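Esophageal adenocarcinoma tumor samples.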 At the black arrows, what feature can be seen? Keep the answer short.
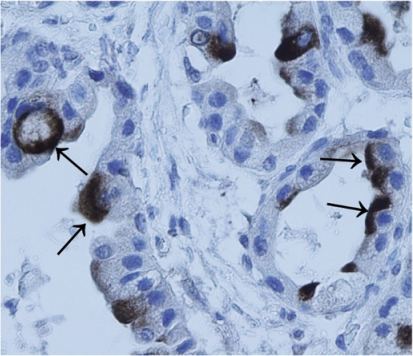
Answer: Crescent or ring-like structures.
